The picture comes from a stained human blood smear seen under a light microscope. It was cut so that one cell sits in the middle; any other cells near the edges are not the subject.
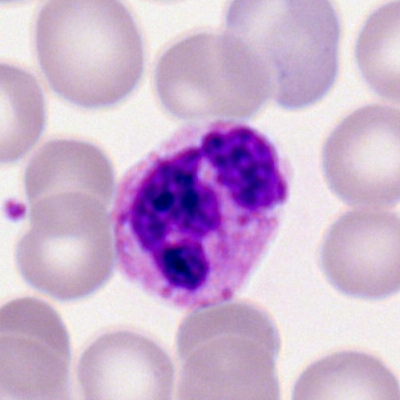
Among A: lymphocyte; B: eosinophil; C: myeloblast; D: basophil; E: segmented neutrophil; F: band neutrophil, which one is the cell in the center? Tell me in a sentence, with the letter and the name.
At the centre of the crop lies a basophil, which makes option D correct.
